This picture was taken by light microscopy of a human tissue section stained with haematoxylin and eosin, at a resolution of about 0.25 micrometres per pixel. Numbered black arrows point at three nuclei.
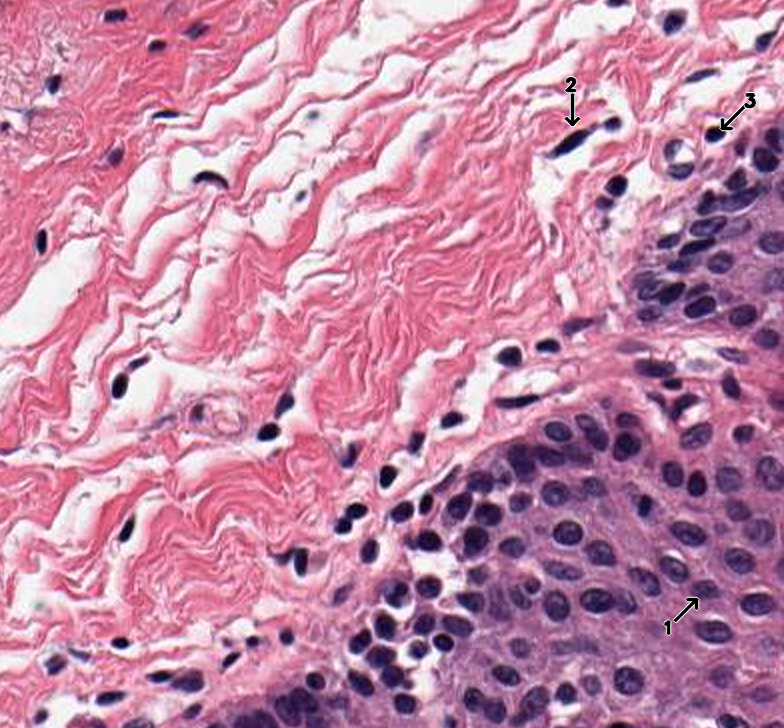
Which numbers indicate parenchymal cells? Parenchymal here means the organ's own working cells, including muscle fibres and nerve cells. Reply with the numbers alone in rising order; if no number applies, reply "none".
1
